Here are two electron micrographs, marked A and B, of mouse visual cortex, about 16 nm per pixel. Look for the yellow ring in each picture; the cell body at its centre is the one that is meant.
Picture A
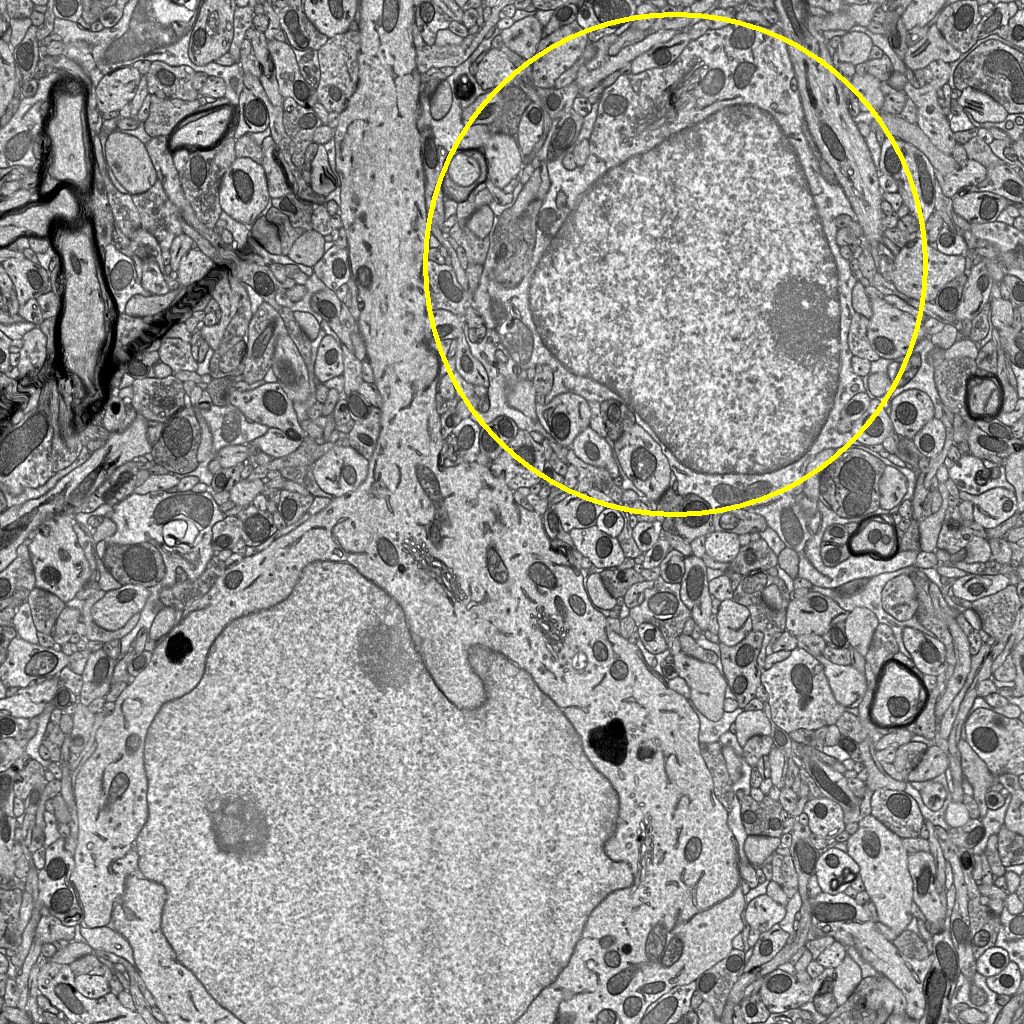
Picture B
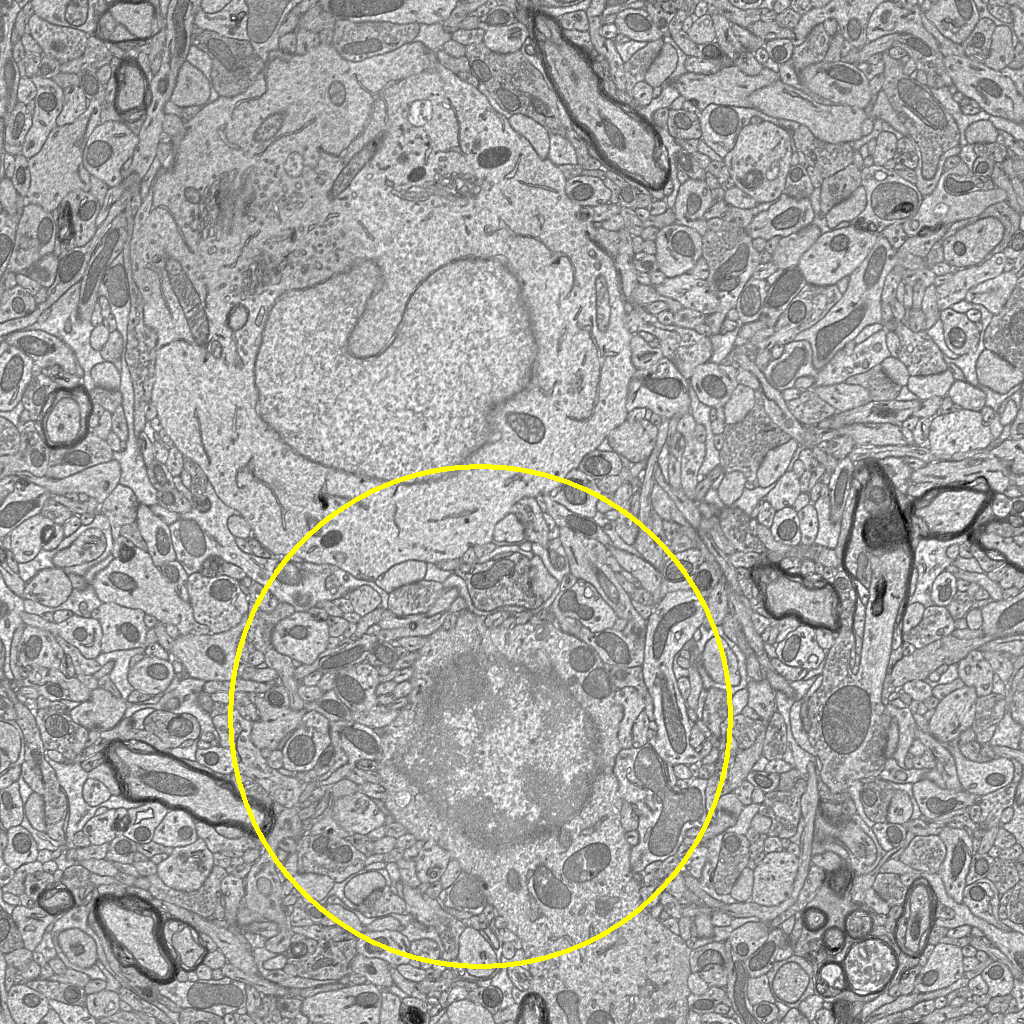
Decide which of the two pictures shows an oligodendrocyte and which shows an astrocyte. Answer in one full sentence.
In picture A the cell is an astrocyte; in picture B, an oligodendrocyte.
